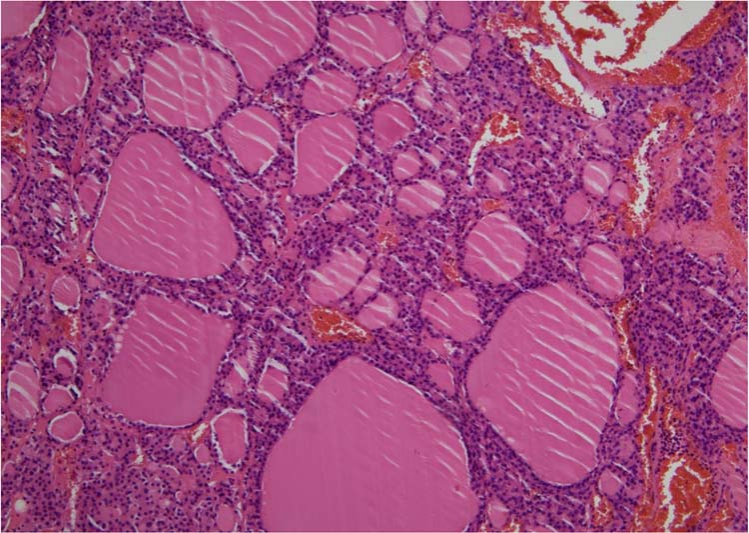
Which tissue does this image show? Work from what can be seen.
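Round to polygonal follicles of very different sizes, large and small, fill the field. Each follicle is lined by a single layer of small cells with dark round nuclei. The follicles are filled with homogeneous pink material. That points to this answer: thyroid follicles.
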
